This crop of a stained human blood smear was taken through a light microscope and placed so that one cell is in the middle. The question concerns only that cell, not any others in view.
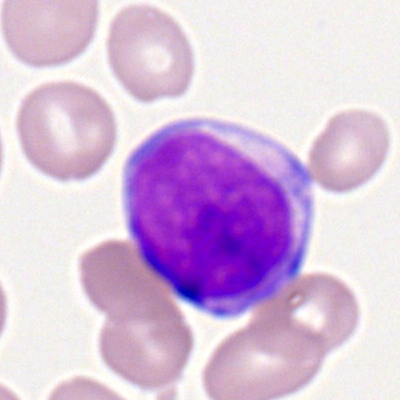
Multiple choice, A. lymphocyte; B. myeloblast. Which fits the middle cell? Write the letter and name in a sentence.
This one is option B, since the cell at the center is a myeloblast.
